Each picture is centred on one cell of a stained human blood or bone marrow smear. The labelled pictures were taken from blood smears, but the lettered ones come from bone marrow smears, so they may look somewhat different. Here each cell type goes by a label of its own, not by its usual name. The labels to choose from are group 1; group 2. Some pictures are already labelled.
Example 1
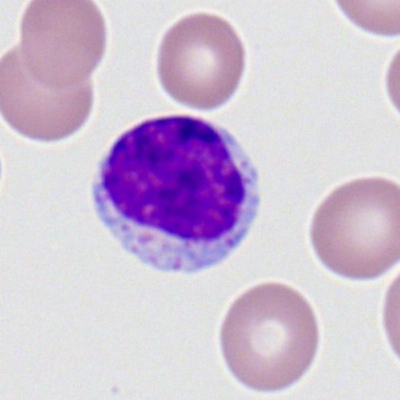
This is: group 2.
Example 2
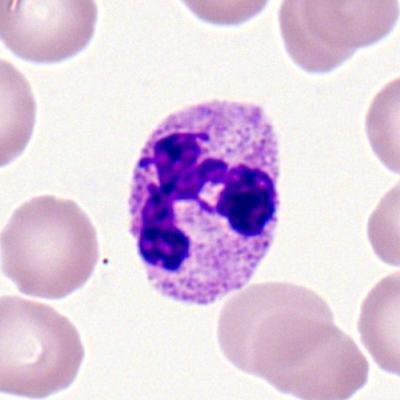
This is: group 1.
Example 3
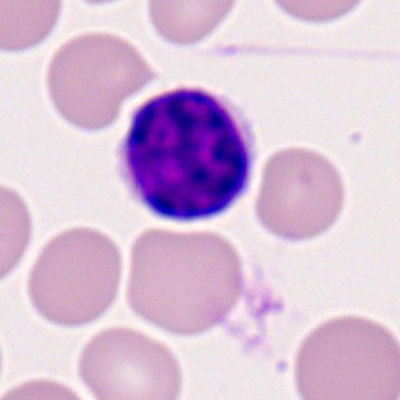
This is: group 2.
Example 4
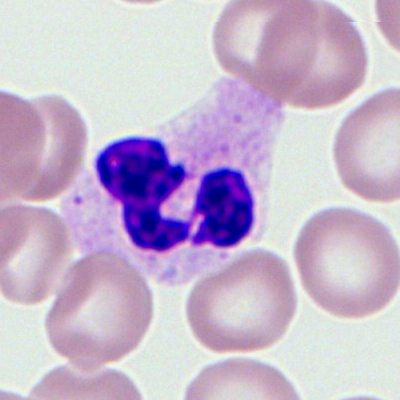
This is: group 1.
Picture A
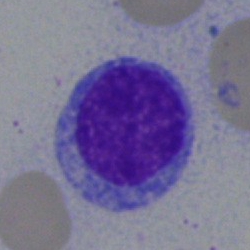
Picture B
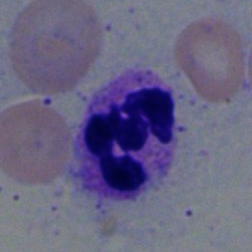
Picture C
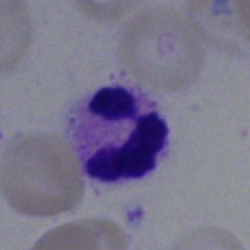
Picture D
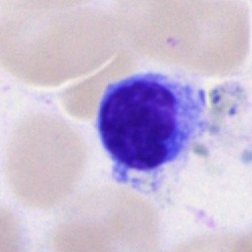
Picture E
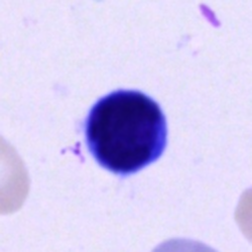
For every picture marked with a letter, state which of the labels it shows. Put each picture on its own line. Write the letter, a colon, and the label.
A: group 2.
B: group 1.
C: group 1.
D: group 2.
E: group 2.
